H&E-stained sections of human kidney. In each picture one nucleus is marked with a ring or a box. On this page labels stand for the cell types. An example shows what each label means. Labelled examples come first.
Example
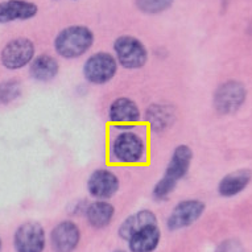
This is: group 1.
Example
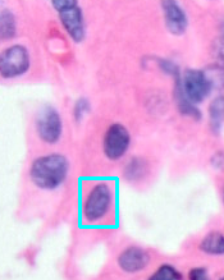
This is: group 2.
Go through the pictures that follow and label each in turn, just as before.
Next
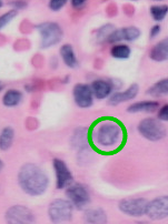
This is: group 1.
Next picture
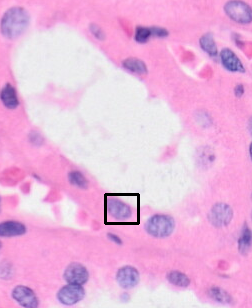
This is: group 2.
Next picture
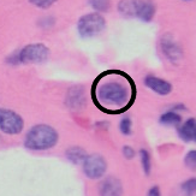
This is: group 2.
